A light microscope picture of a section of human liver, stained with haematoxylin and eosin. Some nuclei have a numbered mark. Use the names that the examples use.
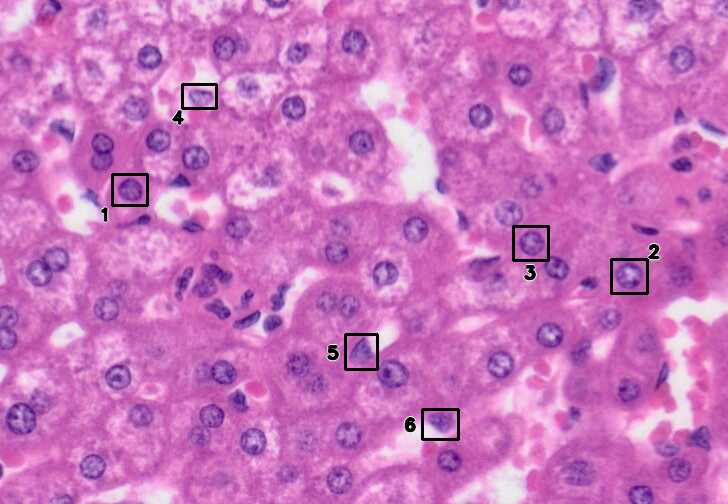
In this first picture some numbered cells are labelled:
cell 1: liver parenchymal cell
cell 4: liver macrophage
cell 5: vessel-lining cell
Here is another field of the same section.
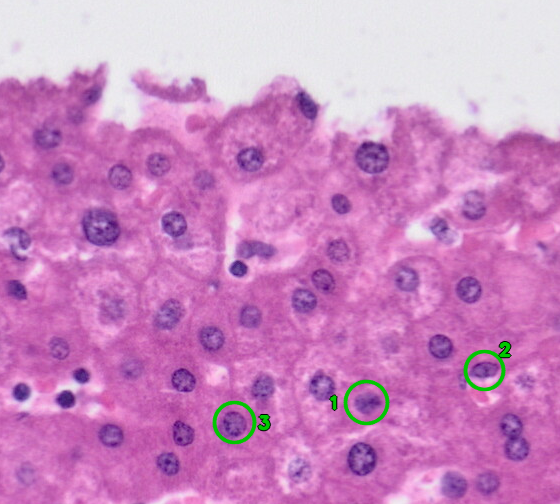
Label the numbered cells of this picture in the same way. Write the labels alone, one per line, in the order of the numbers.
vessel-lining cell
liver macrophage
liver parenchymal cell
